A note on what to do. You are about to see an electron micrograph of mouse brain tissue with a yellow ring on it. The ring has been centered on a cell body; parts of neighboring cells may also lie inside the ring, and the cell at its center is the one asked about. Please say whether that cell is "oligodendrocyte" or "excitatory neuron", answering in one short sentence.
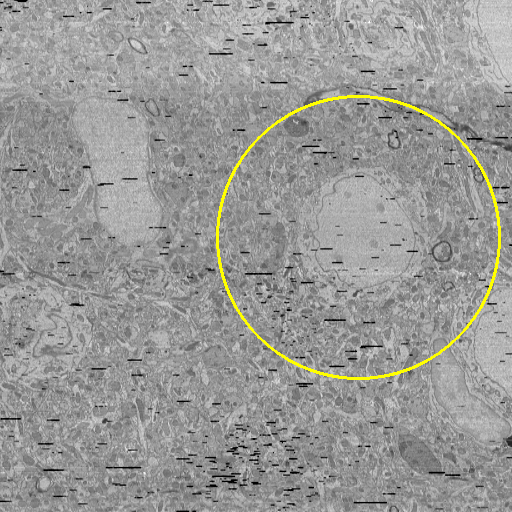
The yellow ring sits on an excitatory neuron.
